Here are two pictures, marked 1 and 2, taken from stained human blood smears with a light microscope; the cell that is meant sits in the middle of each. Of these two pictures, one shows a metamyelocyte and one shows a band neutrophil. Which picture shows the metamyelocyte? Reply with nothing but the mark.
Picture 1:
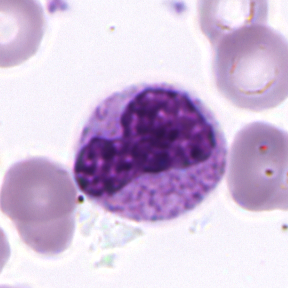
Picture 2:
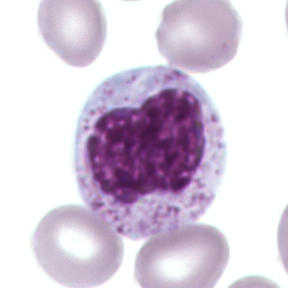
2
